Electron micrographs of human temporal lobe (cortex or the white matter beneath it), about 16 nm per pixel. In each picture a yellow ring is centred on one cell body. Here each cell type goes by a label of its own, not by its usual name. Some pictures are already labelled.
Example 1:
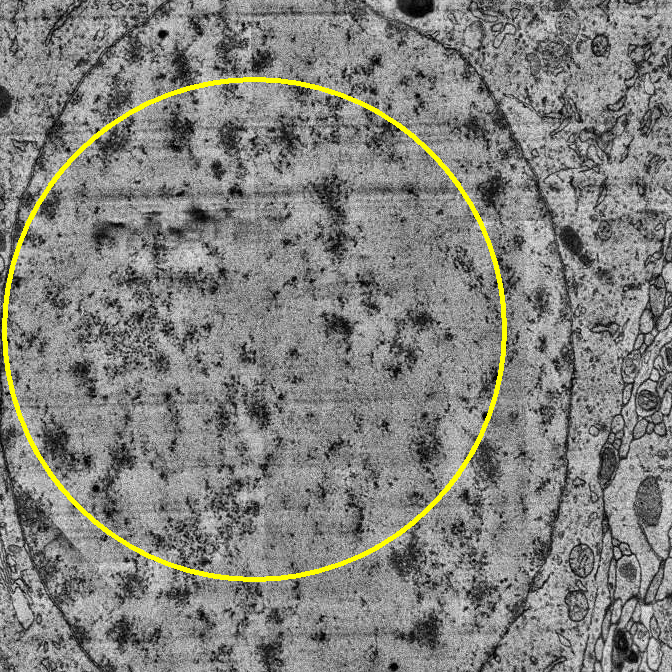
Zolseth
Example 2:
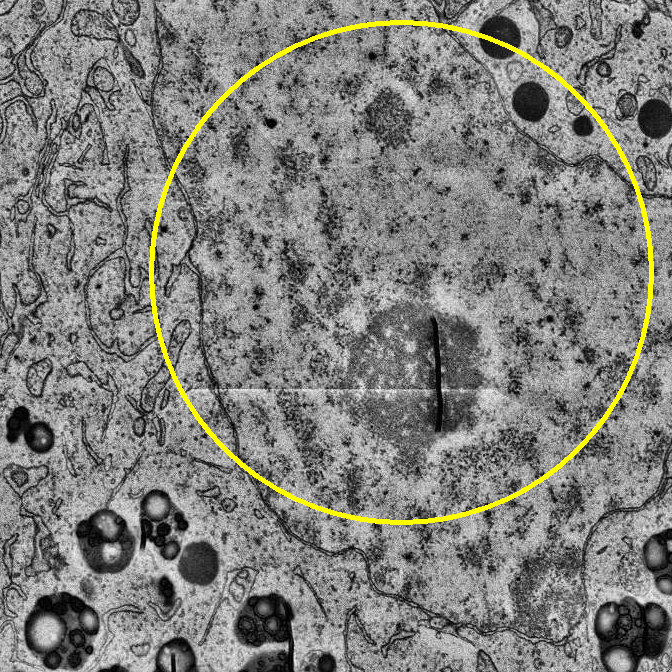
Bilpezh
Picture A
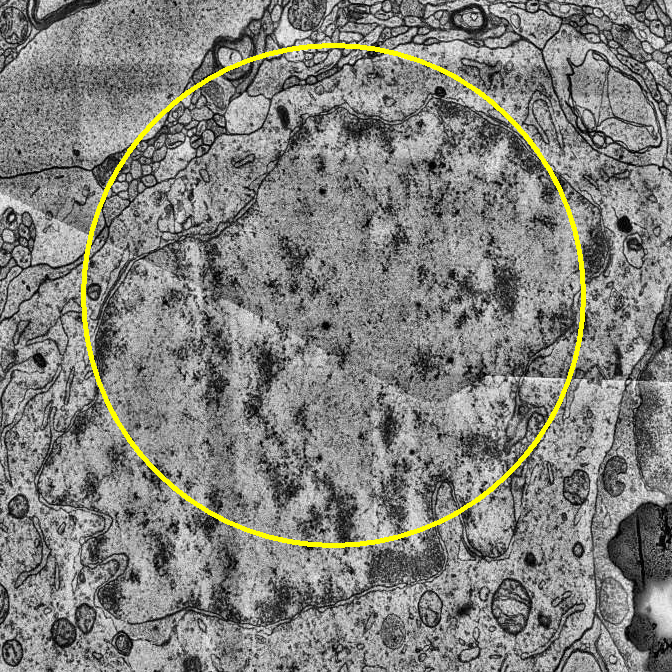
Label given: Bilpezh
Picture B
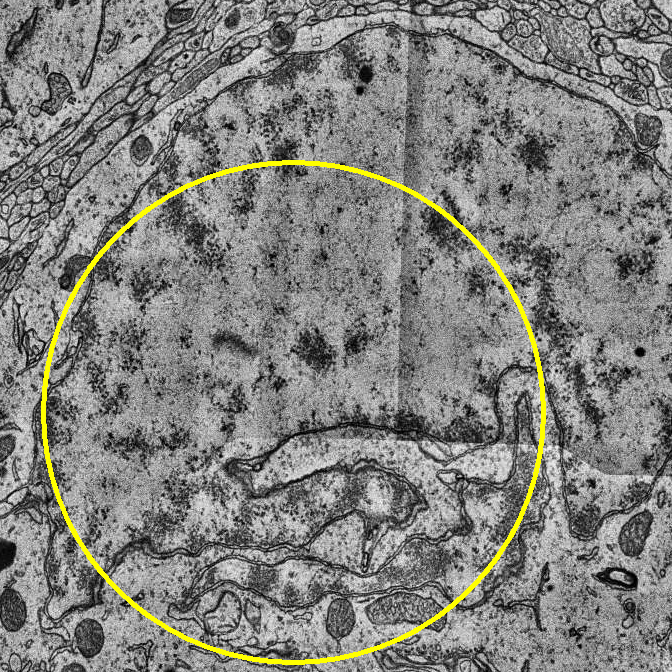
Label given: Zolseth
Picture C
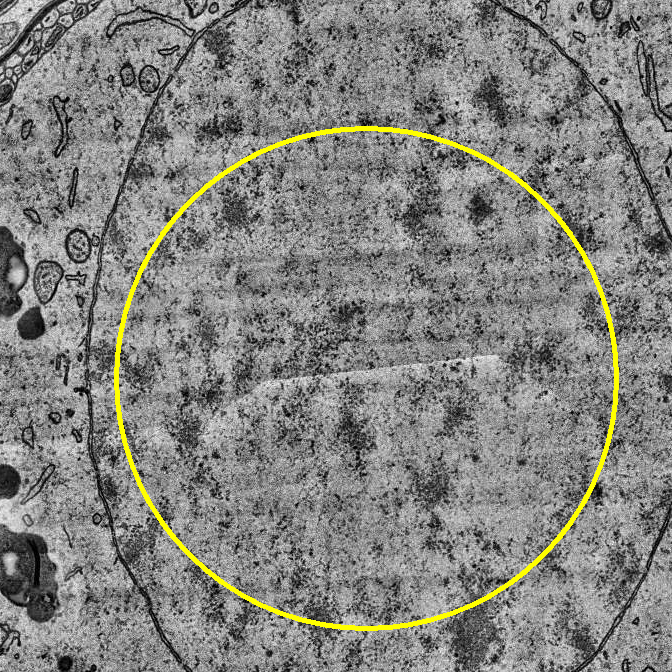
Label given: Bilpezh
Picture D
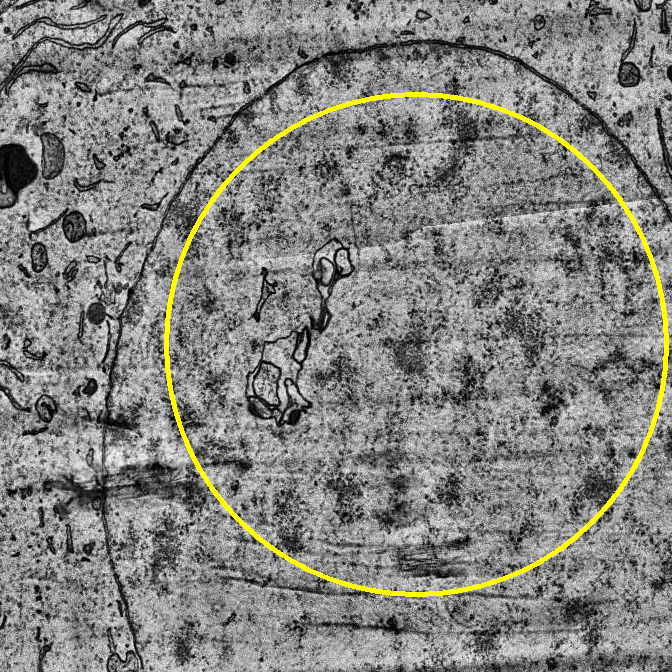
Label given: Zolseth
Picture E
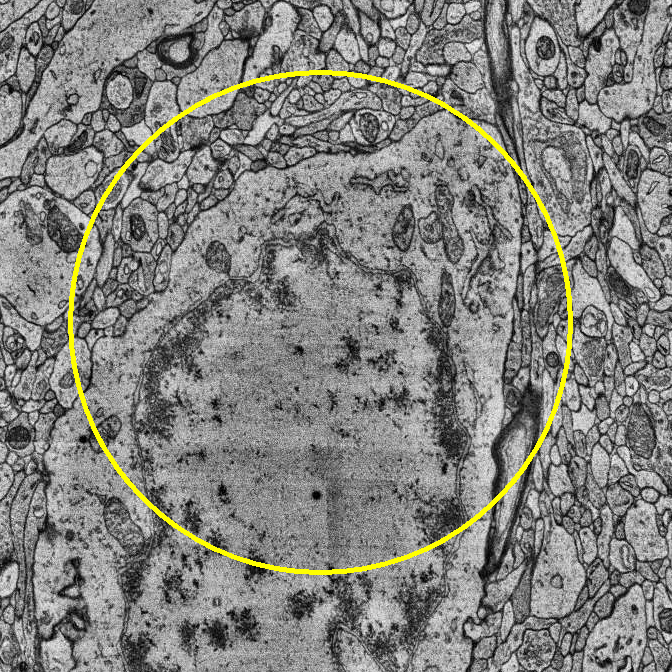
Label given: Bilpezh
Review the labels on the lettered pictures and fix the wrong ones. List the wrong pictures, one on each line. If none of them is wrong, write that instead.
B: not Zolseth but Bilpezh
C: not Bilpezh but Zolseth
